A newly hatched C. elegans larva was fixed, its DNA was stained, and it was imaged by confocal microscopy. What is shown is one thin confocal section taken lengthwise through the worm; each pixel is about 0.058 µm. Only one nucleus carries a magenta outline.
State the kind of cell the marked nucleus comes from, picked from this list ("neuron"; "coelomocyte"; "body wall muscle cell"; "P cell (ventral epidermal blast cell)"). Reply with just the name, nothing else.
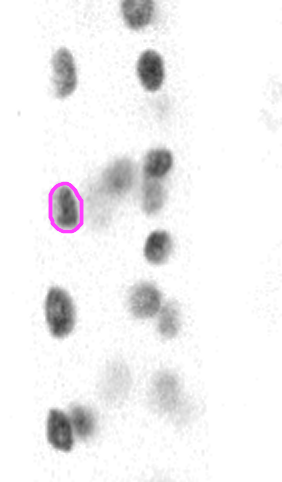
body wall muscle cell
